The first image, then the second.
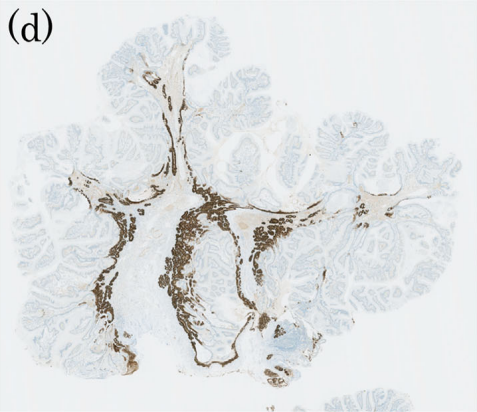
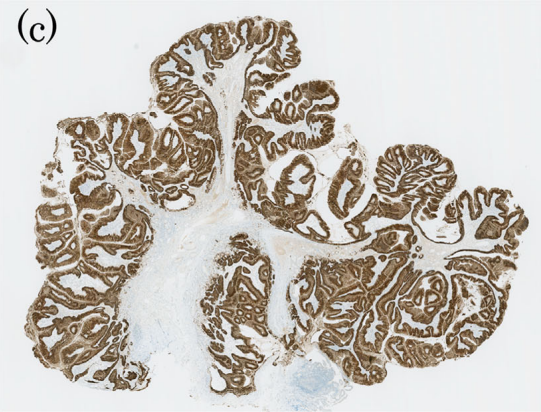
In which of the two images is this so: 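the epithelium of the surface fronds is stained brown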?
The second image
